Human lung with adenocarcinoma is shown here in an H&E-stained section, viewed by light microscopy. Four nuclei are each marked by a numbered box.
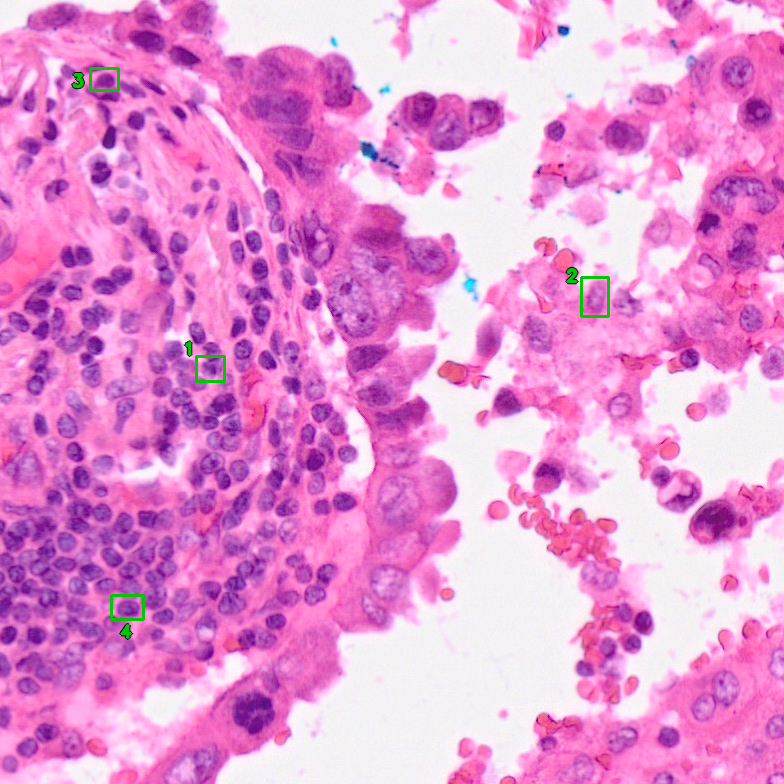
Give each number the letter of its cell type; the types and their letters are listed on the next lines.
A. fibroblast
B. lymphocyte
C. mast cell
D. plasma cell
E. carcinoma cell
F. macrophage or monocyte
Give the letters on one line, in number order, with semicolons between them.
B; F; B; B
